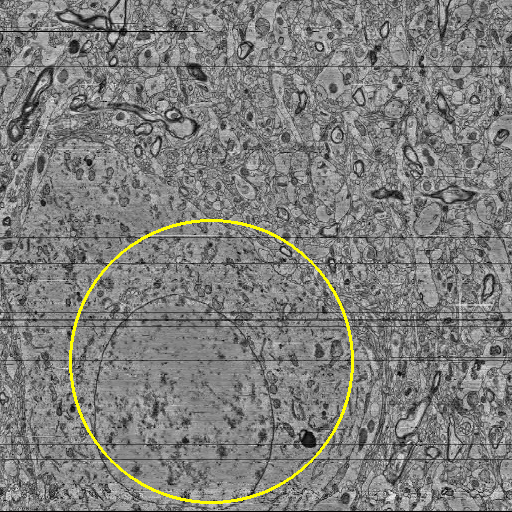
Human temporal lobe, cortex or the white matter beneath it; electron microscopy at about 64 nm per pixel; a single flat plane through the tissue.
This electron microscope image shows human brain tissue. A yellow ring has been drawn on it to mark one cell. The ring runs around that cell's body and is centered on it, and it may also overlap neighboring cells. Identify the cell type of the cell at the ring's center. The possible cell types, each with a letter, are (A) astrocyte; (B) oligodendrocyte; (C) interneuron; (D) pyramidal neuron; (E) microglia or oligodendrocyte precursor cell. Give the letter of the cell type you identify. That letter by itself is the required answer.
D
